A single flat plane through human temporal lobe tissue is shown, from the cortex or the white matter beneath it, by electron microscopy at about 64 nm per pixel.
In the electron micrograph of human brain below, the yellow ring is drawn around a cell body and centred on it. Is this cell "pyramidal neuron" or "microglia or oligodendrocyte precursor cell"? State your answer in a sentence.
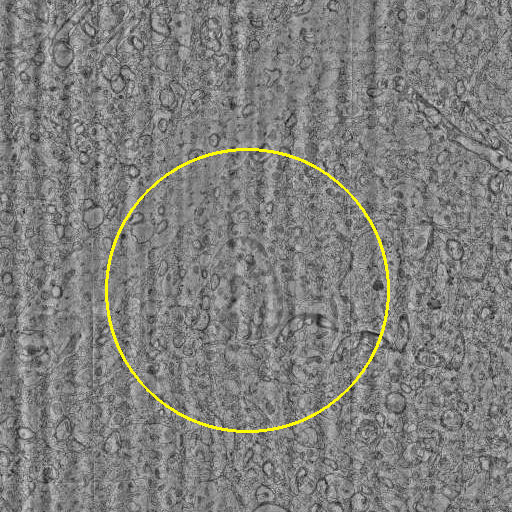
The cell in the middle of the ring is a microglial cell or oligodendrocyte precursor cell.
